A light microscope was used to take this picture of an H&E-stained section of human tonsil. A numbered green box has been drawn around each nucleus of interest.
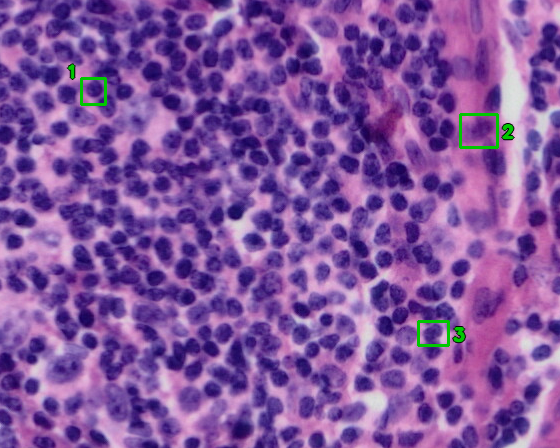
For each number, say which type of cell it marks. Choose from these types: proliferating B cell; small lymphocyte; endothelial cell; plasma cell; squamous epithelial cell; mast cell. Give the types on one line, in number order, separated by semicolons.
small lymphocyte; endothelial cell; small lymphocyte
